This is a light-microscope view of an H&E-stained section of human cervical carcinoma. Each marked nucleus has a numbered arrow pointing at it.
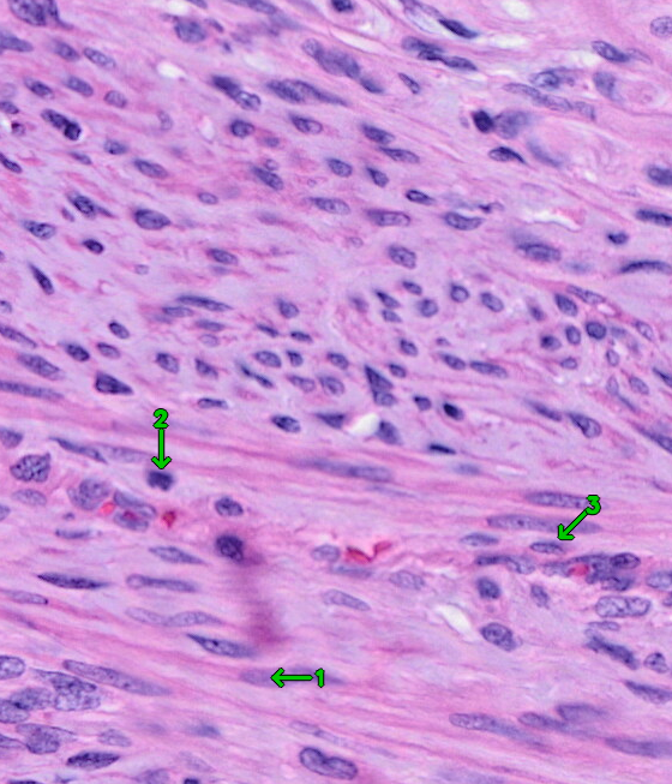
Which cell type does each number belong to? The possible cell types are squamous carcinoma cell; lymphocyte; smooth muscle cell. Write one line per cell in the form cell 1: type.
cell 1: smooth muscle cell
cell 2: lymphocyte
cell 3: smooth muscle cell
